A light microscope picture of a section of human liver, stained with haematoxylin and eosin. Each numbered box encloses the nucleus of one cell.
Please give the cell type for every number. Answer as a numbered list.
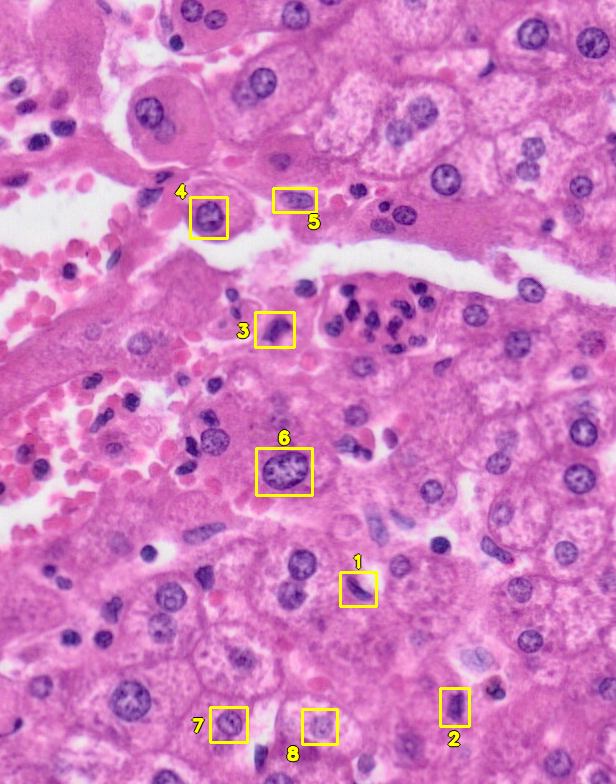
1. endothelial cell
2. fibroblast or stellate cell
3. fibroblast or stellate cell
4. hepatocyte
5. Kupffer cell
6. hepatocyte
7. hepatocyte
8. hepatocyte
